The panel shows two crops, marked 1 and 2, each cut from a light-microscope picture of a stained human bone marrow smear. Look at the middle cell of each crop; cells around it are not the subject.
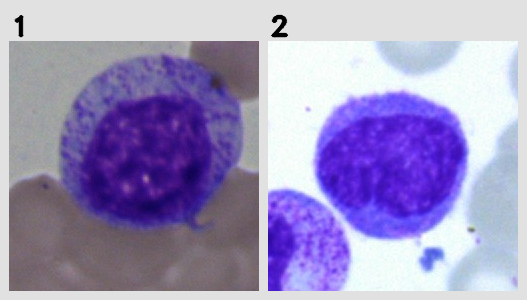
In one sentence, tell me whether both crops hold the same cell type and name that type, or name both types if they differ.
No, a myelocyte is what occupies crop 1, and a monocyte is what occupies crop 2.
